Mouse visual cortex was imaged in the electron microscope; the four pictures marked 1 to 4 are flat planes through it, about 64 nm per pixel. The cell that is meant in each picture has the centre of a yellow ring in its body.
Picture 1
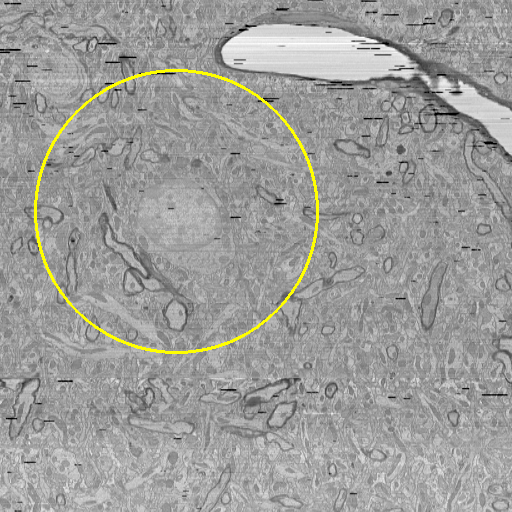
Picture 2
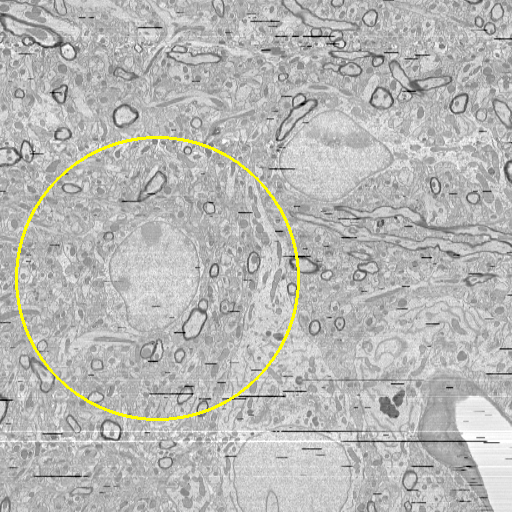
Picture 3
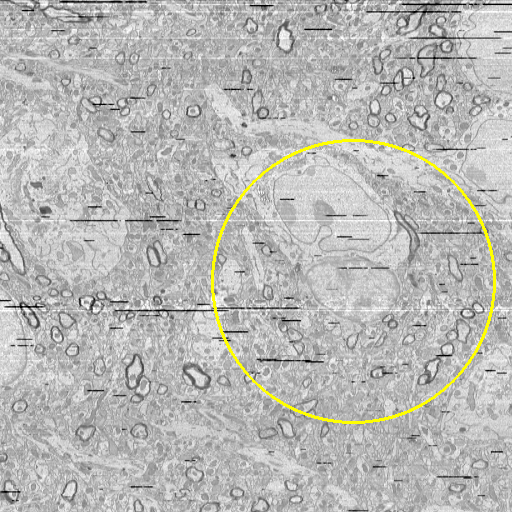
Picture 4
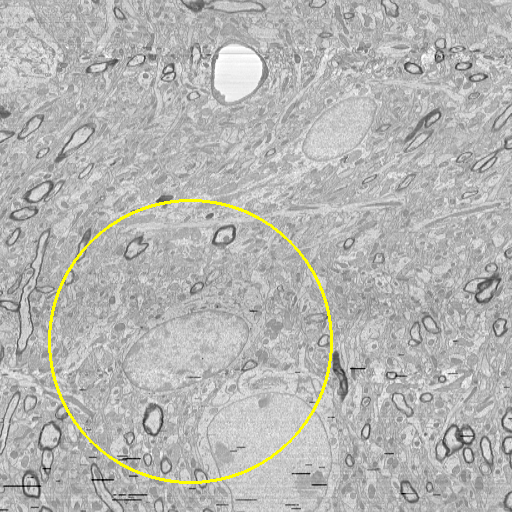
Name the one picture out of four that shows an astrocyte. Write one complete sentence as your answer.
The picture with the astrocyte is 2.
